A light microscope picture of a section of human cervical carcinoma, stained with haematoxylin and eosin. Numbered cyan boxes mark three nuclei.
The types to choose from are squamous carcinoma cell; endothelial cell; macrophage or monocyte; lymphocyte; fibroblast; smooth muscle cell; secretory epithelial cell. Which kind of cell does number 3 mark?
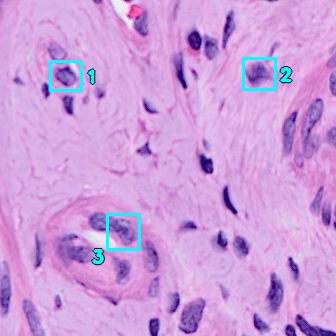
endothelial cell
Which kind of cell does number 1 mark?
endothelial cell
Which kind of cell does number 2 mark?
fibroblast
